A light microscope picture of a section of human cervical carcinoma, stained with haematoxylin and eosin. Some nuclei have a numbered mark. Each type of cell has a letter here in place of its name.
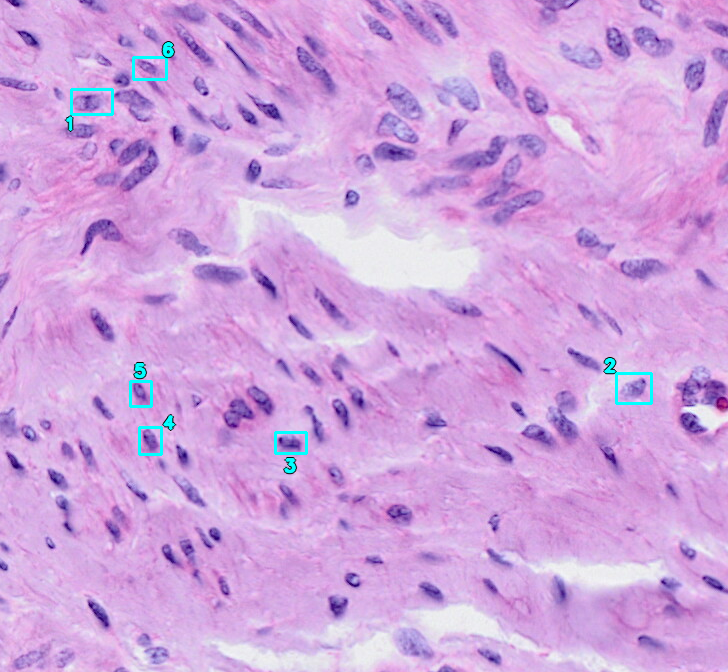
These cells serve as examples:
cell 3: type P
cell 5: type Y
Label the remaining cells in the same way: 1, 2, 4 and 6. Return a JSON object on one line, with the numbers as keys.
{"1": "type Y", "2": "type P", "4": "type Y", "6": "type Y"}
